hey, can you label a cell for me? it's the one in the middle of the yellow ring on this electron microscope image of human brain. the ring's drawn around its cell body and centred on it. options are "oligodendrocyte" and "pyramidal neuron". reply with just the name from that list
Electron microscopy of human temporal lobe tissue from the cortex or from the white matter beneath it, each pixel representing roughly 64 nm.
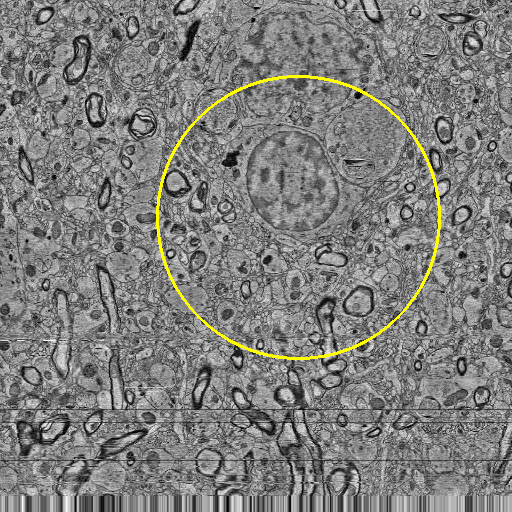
oligodendrocyte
